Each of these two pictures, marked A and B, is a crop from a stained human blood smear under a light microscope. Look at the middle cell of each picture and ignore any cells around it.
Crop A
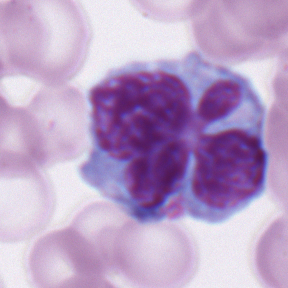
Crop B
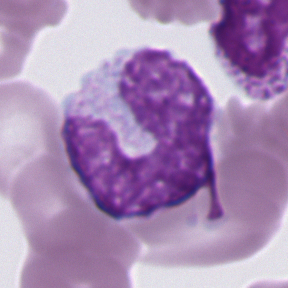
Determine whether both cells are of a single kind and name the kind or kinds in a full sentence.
No, the middle of crop A holds a monocyte, and the middle of crop B holds a band neutrophil.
